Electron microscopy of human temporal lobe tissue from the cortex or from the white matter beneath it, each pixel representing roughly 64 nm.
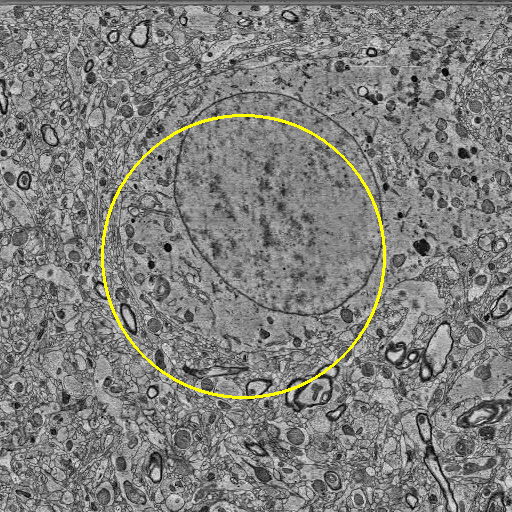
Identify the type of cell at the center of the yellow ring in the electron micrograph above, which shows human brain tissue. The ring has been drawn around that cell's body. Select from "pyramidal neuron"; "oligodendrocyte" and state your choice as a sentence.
The yellow ring is centered on the body of a pyramidal neuron.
